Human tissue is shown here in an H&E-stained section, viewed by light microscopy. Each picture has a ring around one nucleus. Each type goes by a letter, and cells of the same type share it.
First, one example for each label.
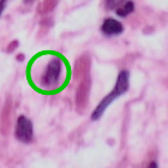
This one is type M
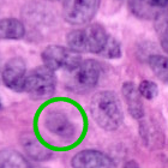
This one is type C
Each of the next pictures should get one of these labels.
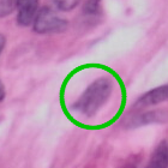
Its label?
type M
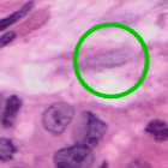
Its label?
type M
